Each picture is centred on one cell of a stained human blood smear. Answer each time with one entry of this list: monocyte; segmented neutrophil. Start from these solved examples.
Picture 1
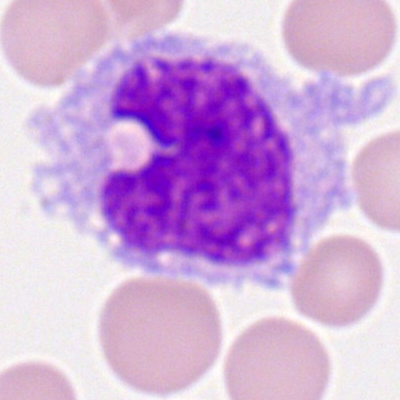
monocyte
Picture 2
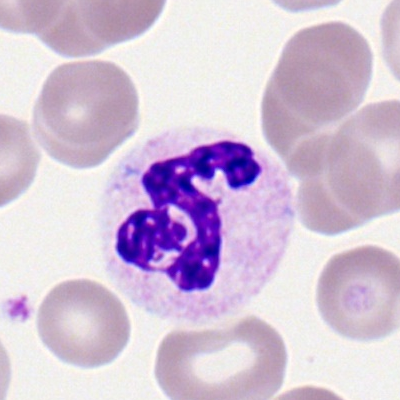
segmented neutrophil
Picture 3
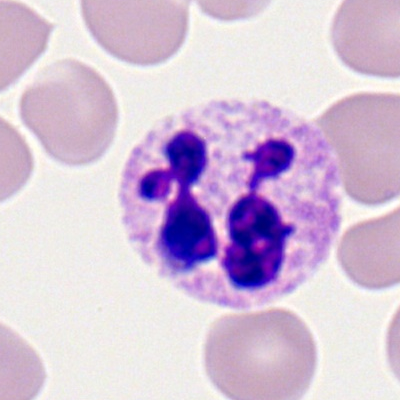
segmented neutrophil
